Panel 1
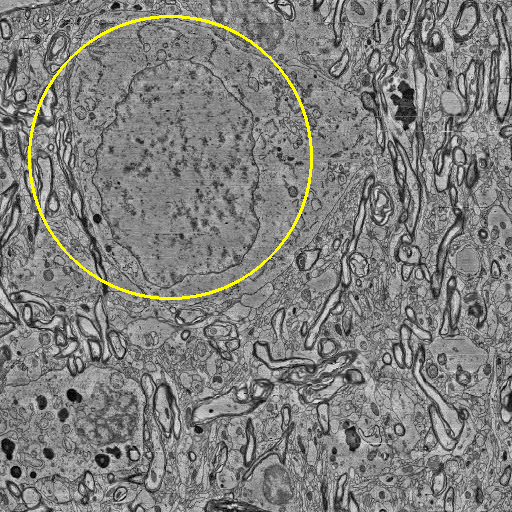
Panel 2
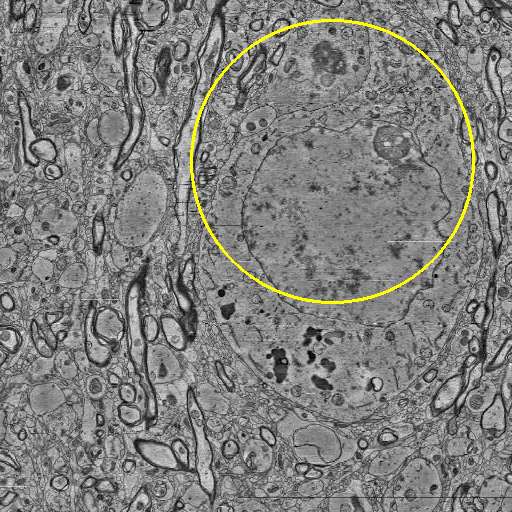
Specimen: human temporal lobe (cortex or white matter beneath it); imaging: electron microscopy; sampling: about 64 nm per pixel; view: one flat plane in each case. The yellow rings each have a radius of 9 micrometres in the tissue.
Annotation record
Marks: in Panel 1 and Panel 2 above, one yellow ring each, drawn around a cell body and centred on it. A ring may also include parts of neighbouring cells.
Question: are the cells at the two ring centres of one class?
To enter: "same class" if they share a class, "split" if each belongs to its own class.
same class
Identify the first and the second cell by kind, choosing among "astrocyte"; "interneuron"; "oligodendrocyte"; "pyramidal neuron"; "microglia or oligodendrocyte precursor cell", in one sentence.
The cell at the ring centre is a pyramidal neuron in both pictures.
